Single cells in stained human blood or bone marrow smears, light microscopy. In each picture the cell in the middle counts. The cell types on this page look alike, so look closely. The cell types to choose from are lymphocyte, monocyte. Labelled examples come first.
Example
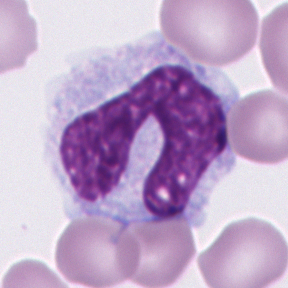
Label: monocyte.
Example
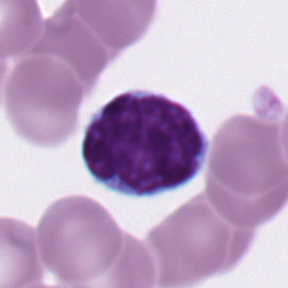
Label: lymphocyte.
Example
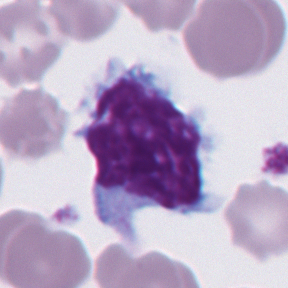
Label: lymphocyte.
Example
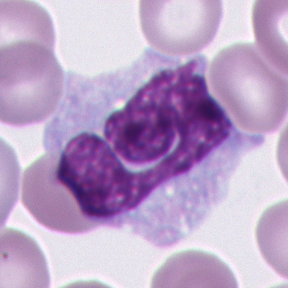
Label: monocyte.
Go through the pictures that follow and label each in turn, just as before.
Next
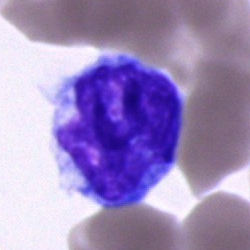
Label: monocyte.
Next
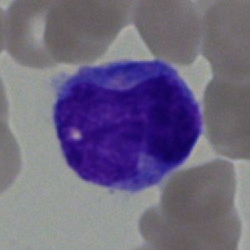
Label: monocyte.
